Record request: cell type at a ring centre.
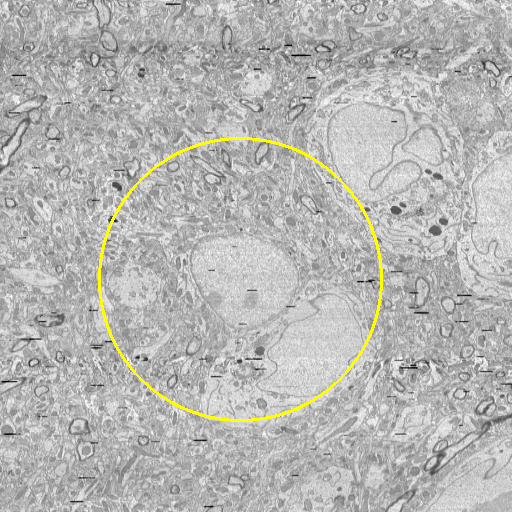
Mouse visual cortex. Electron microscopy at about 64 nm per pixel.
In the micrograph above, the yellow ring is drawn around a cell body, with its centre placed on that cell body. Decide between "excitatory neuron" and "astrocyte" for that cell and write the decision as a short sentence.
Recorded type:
The cell centred in the yellow ring is an astrocyte.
